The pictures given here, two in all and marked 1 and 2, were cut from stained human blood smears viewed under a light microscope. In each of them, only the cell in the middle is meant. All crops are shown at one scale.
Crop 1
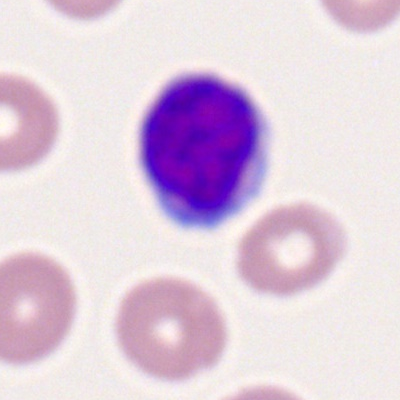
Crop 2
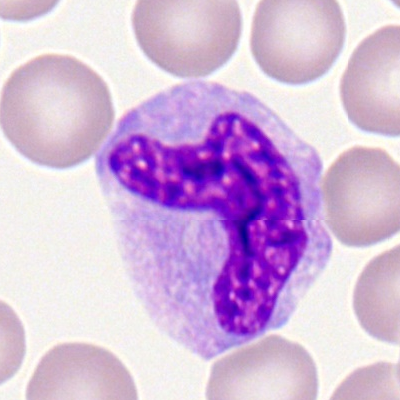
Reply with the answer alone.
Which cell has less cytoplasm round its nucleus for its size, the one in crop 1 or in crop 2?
1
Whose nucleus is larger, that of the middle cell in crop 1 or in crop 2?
2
